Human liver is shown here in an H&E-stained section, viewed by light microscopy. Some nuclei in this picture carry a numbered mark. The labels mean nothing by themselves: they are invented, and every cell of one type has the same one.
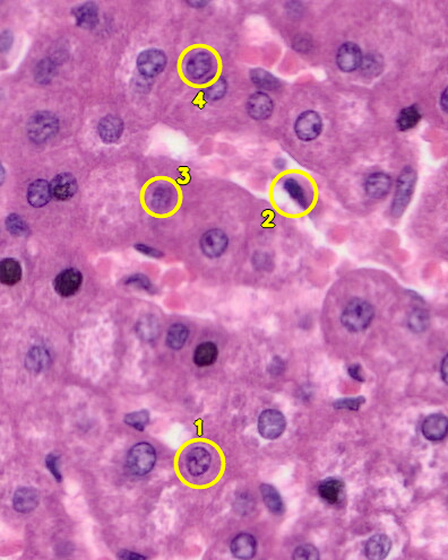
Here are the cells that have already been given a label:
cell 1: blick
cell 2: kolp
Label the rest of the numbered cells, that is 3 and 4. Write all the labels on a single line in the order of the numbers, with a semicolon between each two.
blick; blick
